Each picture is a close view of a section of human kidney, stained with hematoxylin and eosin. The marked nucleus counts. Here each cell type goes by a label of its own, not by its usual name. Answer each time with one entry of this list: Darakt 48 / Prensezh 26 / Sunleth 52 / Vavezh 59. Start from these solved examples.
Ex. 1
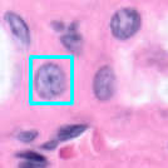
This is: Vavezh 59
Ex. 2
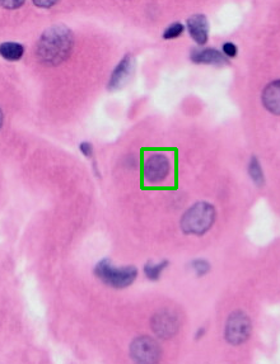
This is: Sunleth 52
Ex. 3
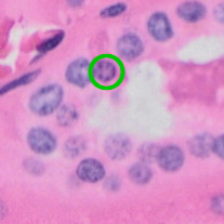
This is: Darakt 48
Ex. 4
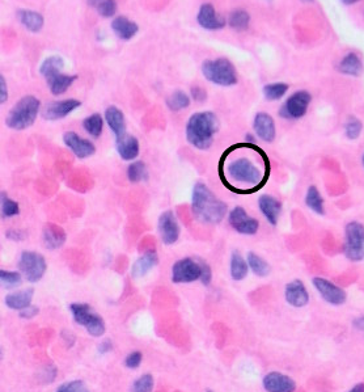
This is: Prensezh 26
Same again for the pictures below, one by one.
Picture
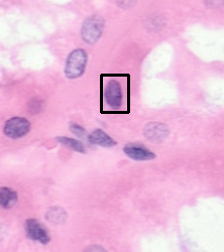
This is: Sunleth 52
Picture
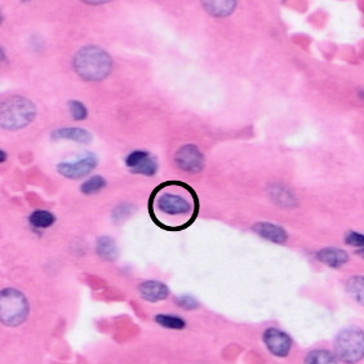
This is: Vavezh 59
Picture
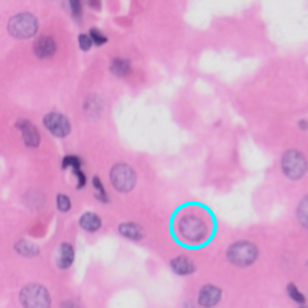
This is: Sunleth 52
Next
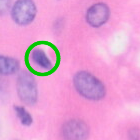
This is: Prensezh 26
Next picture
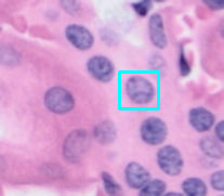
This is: Darakt 48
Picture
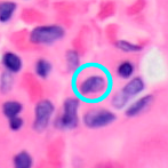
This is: Prensezh 26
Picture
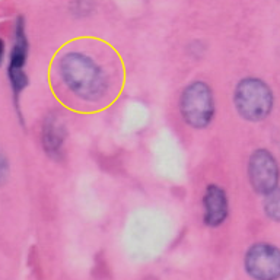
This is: Sunleth 52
